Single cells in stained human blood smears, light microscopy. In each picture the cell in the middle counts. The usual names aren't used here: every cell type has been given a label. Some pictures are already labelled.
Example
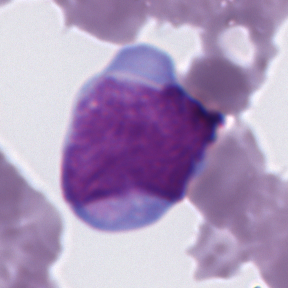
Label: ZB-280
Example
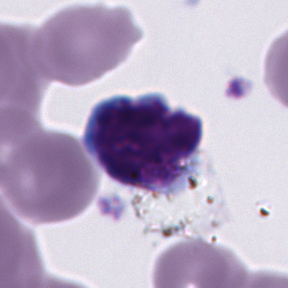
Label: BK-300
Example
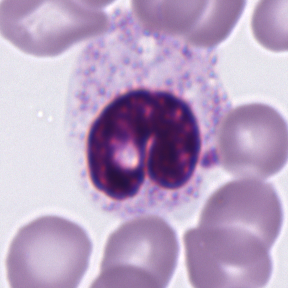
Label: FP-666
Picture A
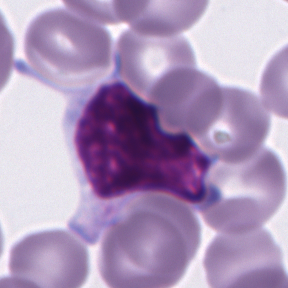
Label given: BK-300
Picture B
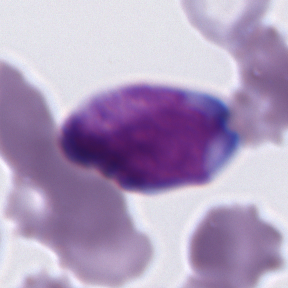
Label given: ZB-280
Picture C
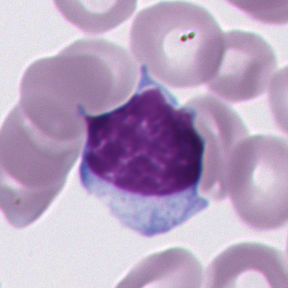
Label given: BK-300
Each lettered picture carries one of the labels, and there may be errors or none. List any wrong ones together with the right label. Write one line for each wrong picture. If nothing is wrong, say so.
All correct.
